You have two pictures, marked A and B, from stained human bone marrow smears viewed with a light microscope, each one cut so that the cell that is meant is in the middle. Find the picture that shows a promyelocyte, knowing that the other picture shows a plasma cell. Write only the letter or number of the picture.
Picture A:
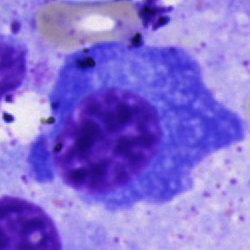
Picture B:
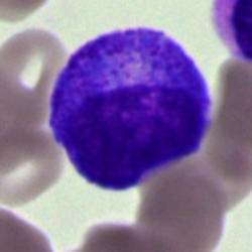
B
